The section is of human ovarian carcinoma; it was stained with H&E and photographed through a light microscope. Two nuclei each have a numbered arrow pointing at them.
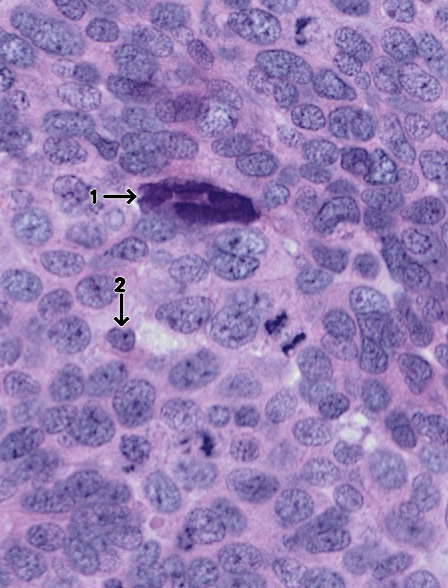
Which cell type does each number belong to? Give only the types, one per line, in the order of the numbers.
carcinoma cell
macrophage or monocyte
